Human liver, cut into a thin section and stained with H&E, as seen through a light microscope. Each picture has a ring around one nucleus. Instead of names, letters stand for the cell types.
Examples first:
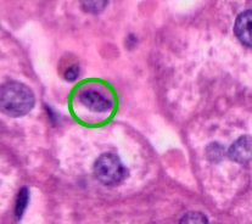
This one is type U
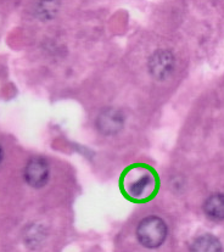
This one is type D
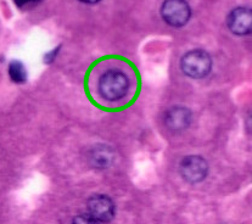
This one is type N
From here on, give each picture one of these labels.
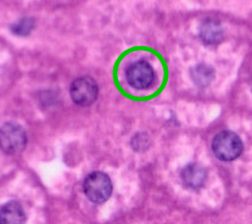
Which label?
type N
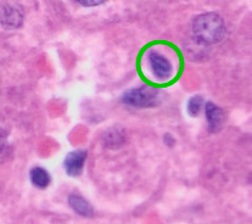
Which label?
type D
